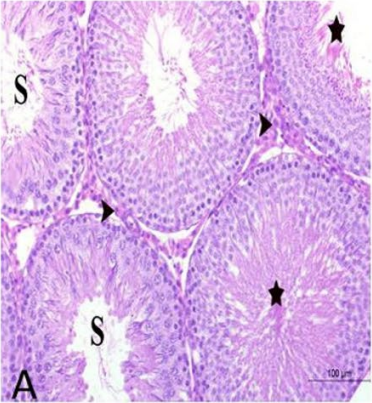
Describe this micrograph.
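Cross-sections of seminiferous tubules of testis, lined by many layers of spermatogenic cells with purple round nuclei. Cells become smaller toward the lumen, where numerous spermatids and pale tail-like strands fill the centre. The tubules lie close together with narrow triangular interstitial spaces holding small clusters of cells with rounded nuclei and pink cytoplasm. The epithelium is evenly layered without gaps.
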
